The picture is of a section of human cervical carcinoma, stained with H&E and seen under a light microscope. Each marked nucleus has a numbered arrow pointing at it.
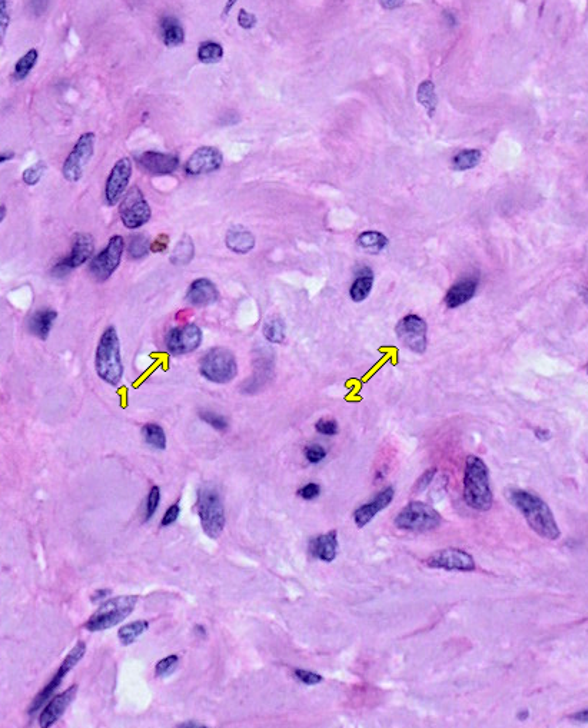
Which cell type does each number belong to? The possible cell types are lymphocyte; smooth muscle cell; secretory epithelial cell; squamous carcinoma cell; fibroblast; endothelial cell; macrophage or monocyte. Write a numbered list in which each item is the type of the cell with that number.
1. endothelial cell
2. fibroblast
